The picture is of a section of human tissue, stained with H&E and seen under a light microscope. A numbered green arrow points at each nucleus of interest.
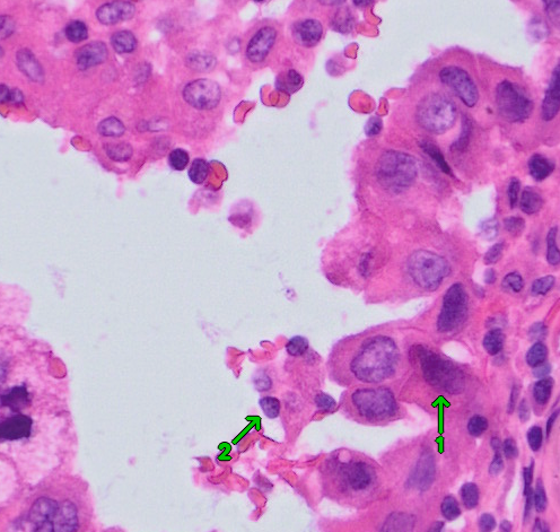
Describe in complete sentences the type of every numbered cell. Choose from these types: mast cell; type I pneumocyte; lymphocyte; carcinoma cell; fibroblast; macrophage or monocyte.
Cell 1 is a carcinoma cell and cell 2 is a lymphocyte.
